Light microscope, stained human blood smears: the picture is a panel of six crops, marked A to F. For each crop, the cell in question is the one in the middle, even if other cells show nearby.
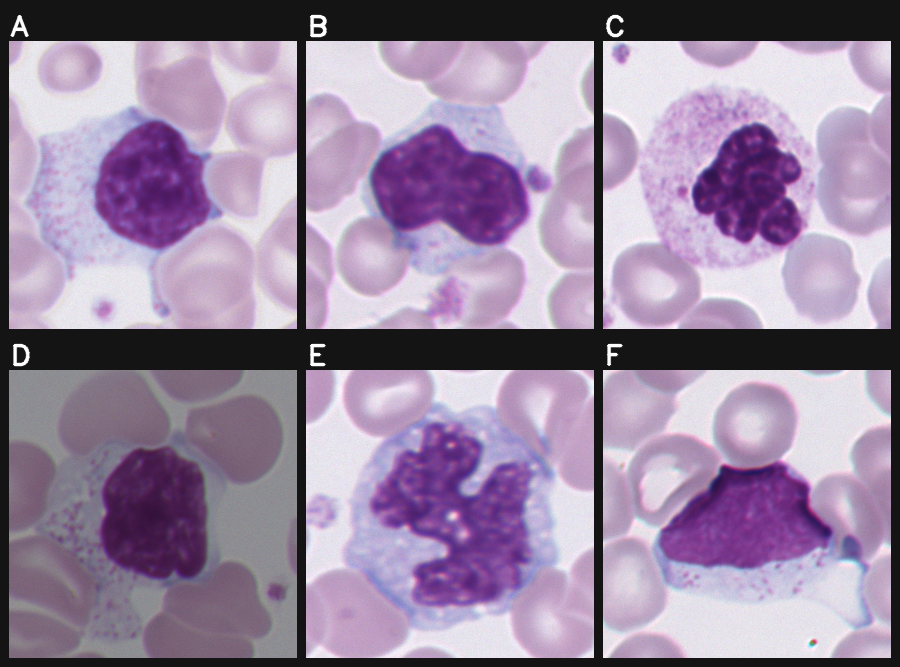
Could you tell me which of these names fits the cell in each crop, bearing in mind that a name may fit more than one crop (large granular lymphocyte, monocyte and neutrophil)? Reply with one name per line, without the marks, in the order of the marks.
large granular lymphocyte
large granular lymphocyte
neutrophil
large granular lymphocyte
monocyte
large granular lymphocyte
